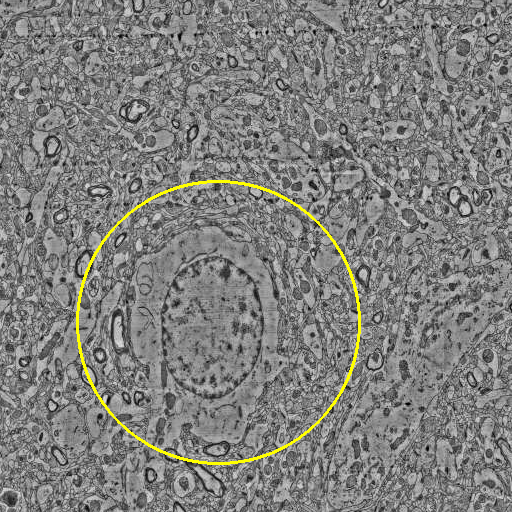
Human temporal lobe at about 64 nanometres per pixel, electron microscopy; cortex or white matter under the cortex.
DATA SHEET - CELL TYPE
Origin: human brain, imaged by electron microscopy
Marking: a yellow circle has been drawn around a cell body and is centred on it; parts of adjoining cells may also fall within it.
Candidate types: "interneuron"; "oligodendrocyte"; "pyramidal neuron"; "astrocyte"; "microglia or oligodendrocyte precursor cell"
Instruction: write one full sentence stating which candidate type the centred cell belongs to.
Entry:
The cell body at the centre of the yellow ring in this micrograph belongs to an astrocyte.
